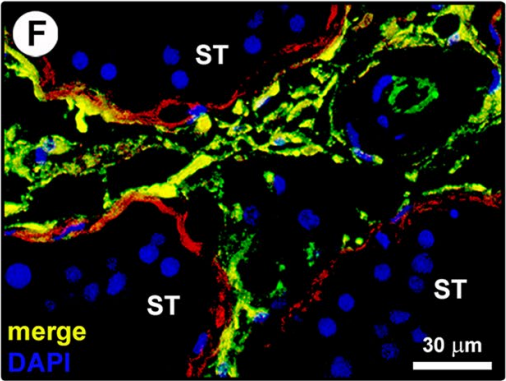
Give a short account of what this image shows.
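This is the interstitial connective tissue of the testis where several seminiferous tubules meet, with a network of slender interstitial cells in the intertubular stroma. Most of these stromal cells appear yellow, showing both colours, and have elongated bodies with long, thin, branching processes that interconnect across the space between the tubules. Their nuclei are small, elongated and flattened, in contrast to the larger round nuclei scattered inside the tubules. Along the tubule borders the yellow cells form an outer sheath, while a thin layer that is red only lies directly against the tubule wall. A round profile in the stroma is outlined by green-stained cells.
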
